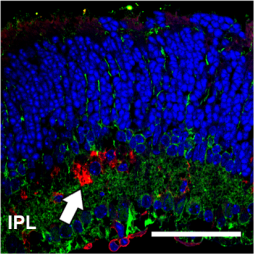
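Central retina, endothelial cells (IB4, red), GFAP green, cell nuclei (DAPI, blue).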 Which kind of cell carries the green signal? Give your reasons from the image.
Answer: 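Green radial fibres cross the nuclear layer vertically. A dense green meshwork fills the inner retina beneath the nuclei.
Answer: activated Mϋller cells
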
